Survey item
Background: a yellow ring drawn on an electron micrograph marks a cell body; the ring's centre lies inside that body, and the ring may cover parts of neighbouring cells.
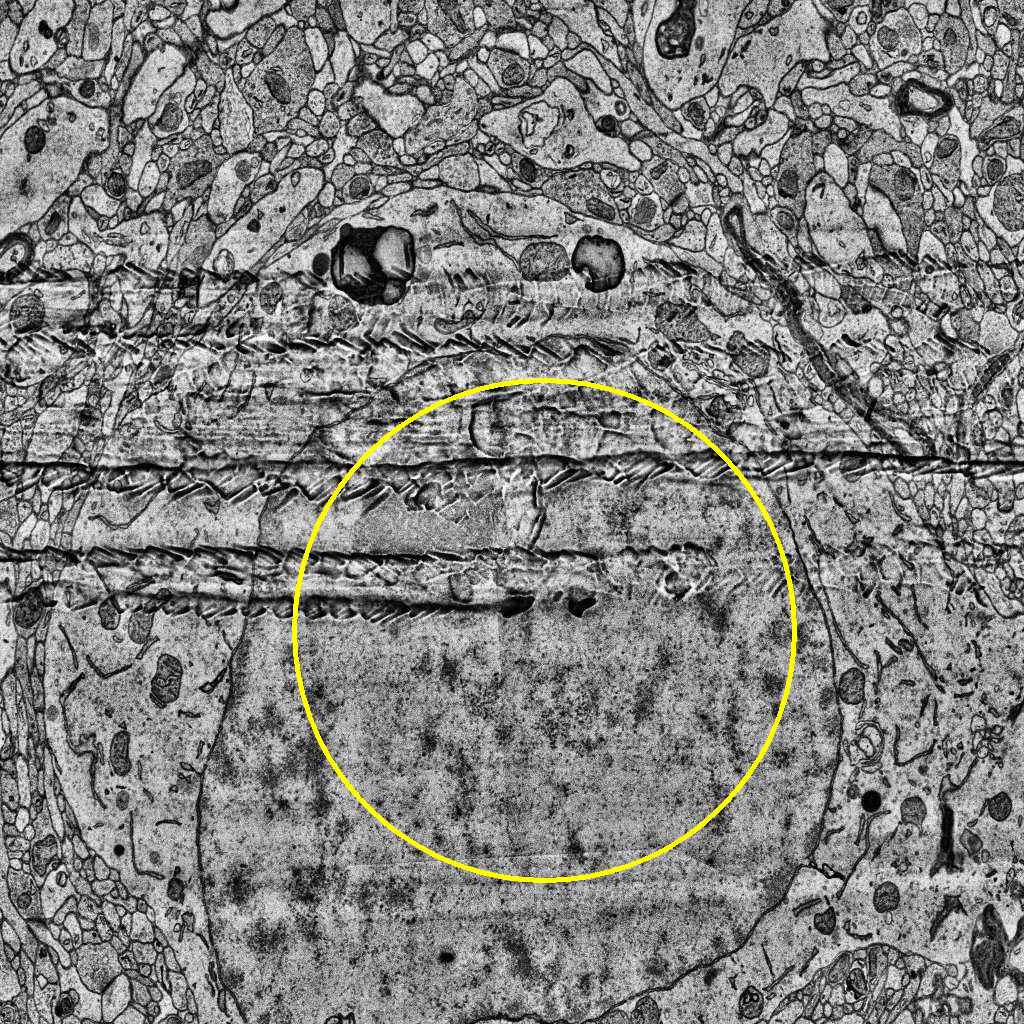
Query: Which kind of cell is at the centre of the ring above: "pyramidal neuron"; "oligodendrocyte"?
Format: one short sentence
The cell in the middle of the ring is a pyramidal neuron.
